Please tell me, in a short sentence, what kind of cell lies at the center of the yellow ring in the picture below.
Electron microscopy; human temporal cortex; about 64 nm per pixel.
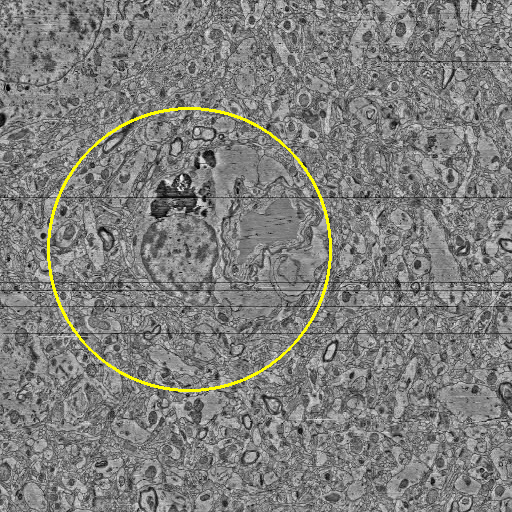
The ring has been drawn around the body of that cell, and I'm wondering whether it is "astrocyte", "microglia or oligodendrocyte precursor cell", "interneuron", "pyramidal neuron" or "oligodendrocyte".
The cell at the center of the ring is an oligodendrocyte.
